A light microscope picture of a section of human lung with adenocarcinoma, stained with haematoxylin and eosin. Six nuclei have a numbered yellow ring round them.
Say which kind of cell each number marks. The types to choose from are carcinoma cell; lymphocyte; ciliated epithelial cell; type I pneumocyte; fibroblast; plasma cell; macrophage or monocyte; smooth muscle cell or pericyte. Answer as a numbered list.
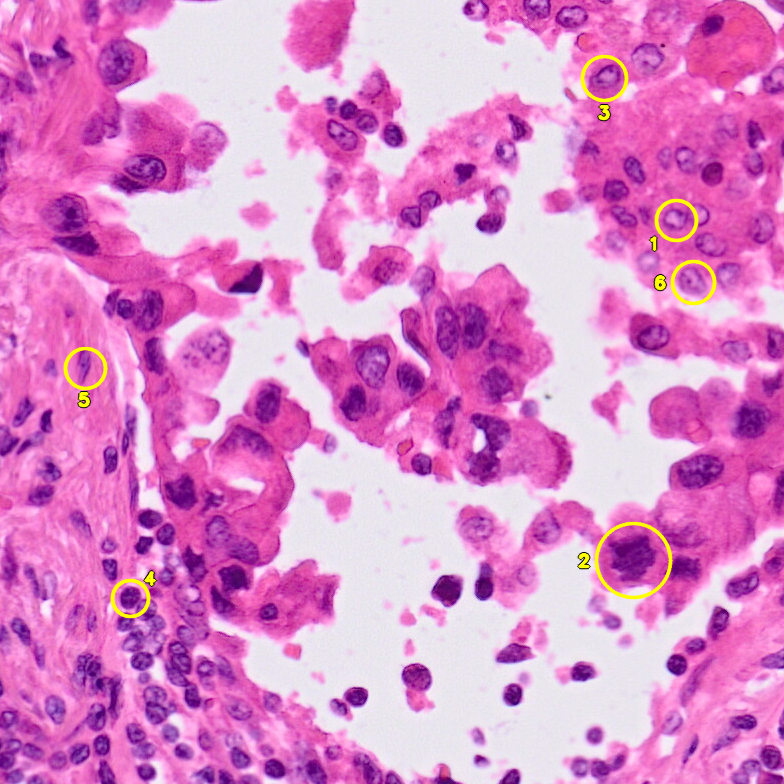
1. macrophage or monocyte
2. carcinoma cell
3. macrophage or monocyte
4. lymphocyte
5. smooth muscle cell or pericyte
6. macrophage or monocyte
